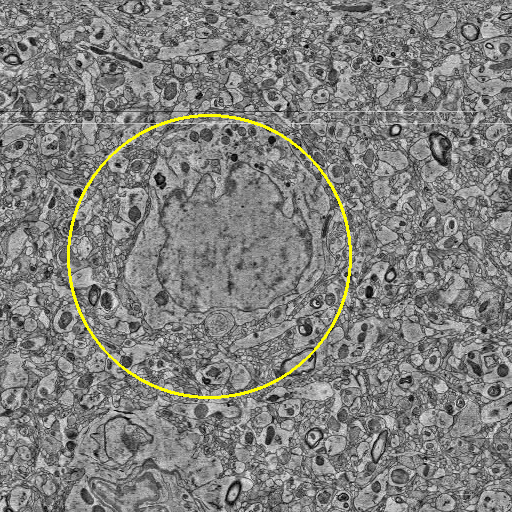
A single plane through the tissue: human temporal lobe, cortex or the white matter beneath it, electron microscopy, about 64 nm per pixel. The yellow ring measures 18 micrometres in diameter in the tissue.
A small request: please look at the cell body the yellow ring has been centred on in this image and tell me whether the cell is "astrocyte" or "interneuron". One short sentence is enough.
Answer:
The cell marked by the ring is an interneuron.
